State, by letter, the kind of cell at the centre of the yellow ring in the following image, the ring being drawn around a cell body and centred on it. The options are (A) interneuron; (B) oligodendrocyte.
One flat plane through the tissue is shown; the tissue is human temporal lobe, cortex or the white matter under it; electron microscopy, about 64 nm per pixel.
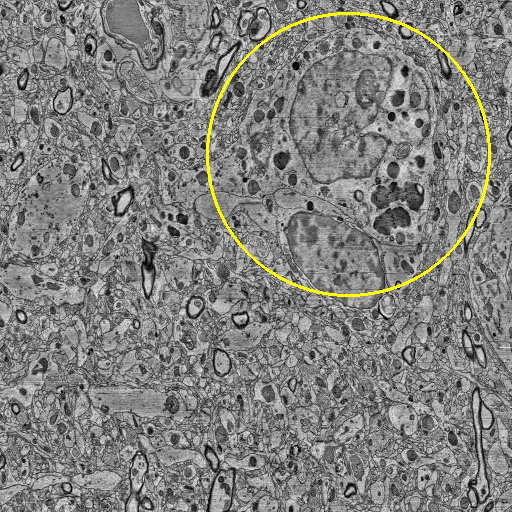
A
